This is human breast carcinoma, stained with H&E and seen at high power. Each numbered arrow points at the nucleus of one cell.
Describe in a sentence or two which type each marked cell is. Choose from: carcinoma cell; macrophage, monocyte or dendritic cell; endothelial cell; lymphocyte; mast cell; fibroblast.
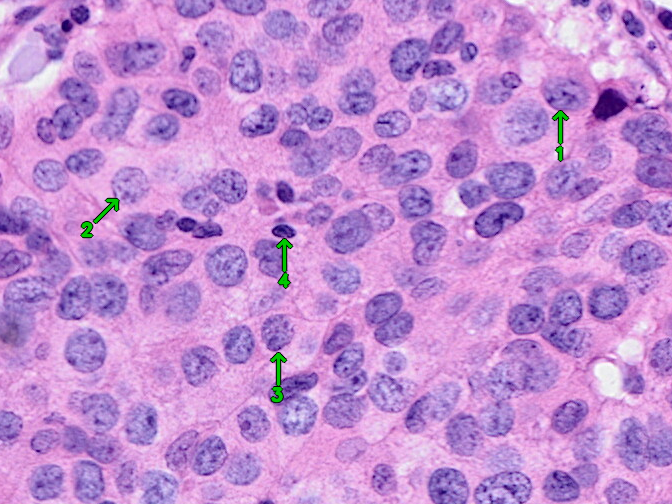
Cell 1 is a carcinoma cell, cell 2 is a carcinoma cell, cell 3 is a carcinoma cell and cell 4 is a lymphocyte.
